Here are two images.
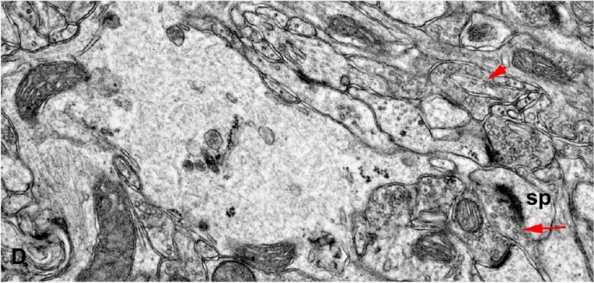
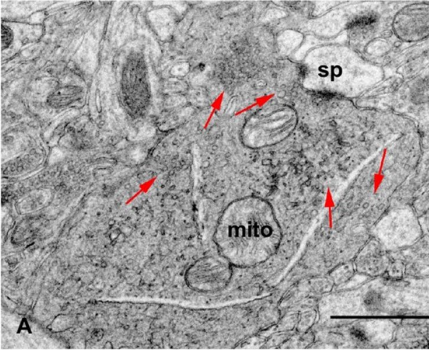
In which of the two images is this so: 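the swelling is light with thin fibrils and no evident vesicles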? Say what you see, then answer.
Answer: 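First image: the large swelling has pale, sparse cytoplasm without vesicle clusters. Second image: the swelling has dark, dense fibrillar cytoplasm with groups of small vesicles.
Conclusion: the first image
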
